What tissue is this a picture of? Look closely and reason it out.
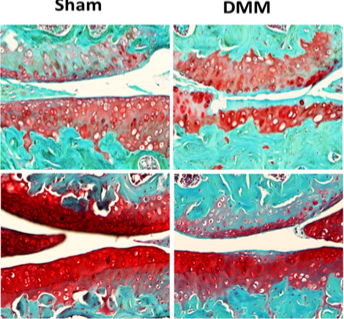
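Two opposing red-stained cartilage layers are separated by a narrow white joint space. Green-blue stained bone lies beneath the red-stained cartilage layers.
Knee joint.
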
